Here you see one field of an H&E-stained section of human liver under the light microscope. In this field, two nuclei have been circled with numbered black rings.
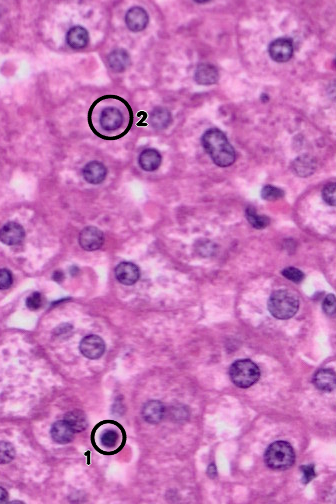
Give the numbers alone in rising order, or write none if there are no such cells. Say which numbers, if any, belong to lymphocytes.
1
